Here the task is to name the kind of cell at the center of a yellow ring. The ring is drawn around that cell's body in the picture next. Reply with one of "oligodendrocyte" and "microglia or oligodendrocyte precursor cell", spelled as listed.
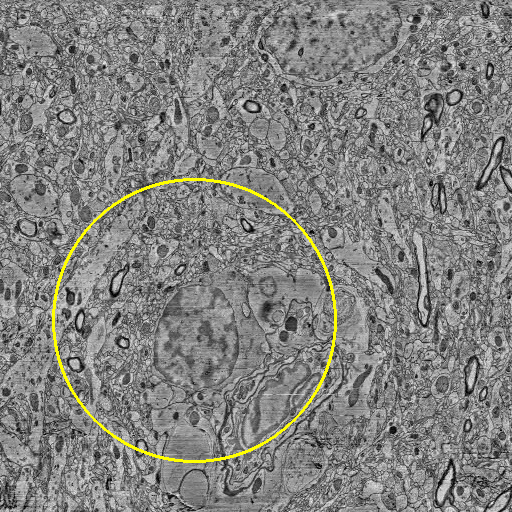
oligodendrocyte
